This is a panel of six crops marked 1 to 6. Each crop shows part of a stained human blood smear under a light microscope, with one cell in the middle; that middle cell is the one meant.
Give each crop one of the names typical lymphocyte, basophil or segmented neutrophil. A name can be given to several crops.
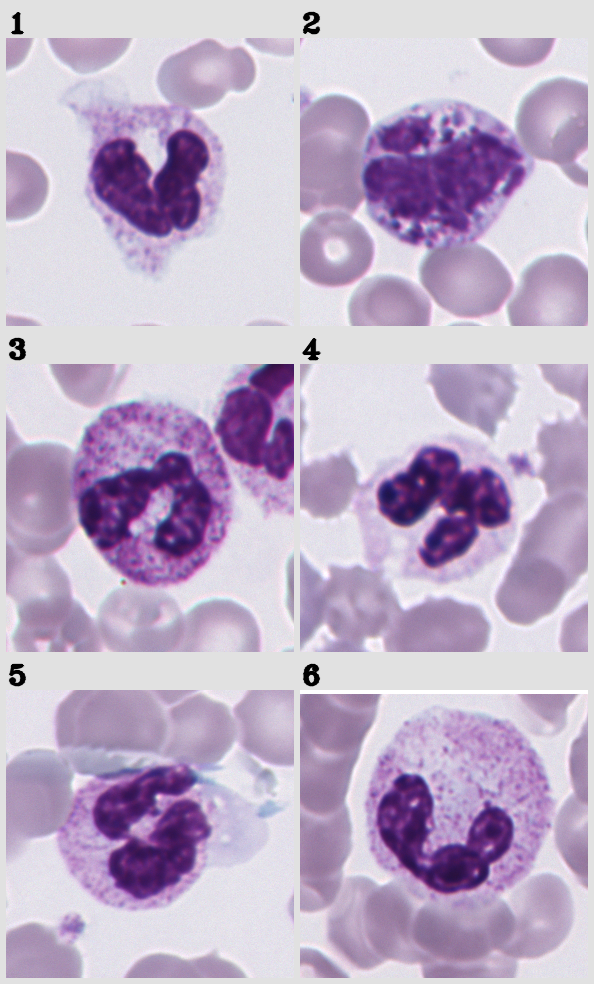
1: segmented neutrophil
2: basophil
3: segmented neutrophil
4: segmented neutrophil
5: segmented neutrophil
6: segmented neutrophil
